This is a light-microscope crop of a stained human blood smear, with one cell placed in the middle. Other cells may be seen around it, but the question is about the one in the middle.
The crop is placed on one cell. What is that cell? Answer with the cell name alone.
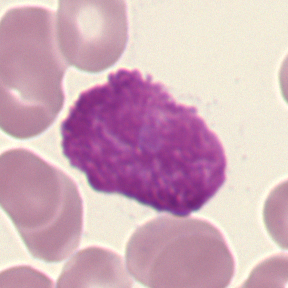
smudge cell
